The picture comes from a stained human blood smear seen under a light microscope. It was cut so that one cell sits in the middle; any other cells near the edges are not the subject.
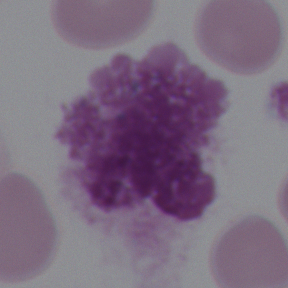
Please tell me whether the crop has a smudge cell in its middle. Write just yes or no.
yes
